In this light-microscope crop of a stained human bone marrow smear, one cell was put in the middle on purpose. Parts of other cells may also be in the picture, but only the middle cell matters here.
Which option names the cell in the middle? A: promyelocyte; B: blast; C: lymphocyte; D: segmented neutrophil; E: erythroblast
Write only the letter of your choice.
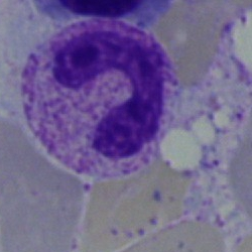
D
